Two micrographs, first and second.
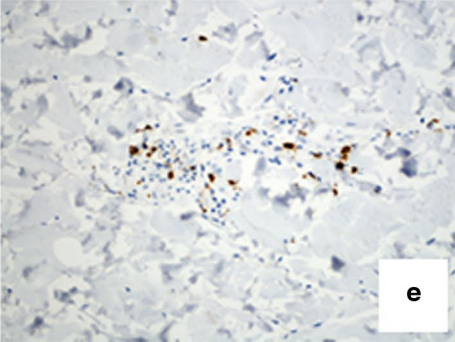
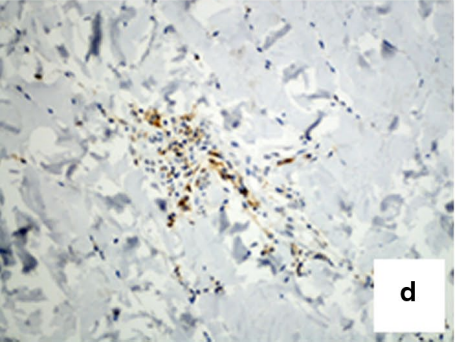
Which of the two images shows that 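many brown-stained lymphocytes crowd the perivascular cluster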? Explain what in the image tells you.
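First image: only scattered brown-stained cells among mostly blue nuclei. Second image: a dense band of many brown-stained small cells. On this evidence: the second image.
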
